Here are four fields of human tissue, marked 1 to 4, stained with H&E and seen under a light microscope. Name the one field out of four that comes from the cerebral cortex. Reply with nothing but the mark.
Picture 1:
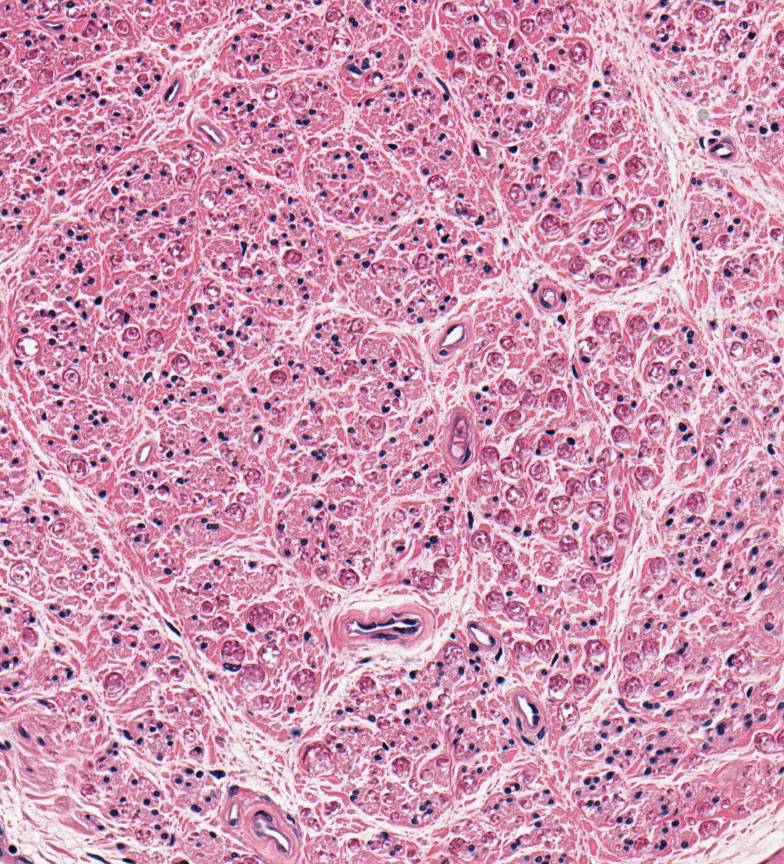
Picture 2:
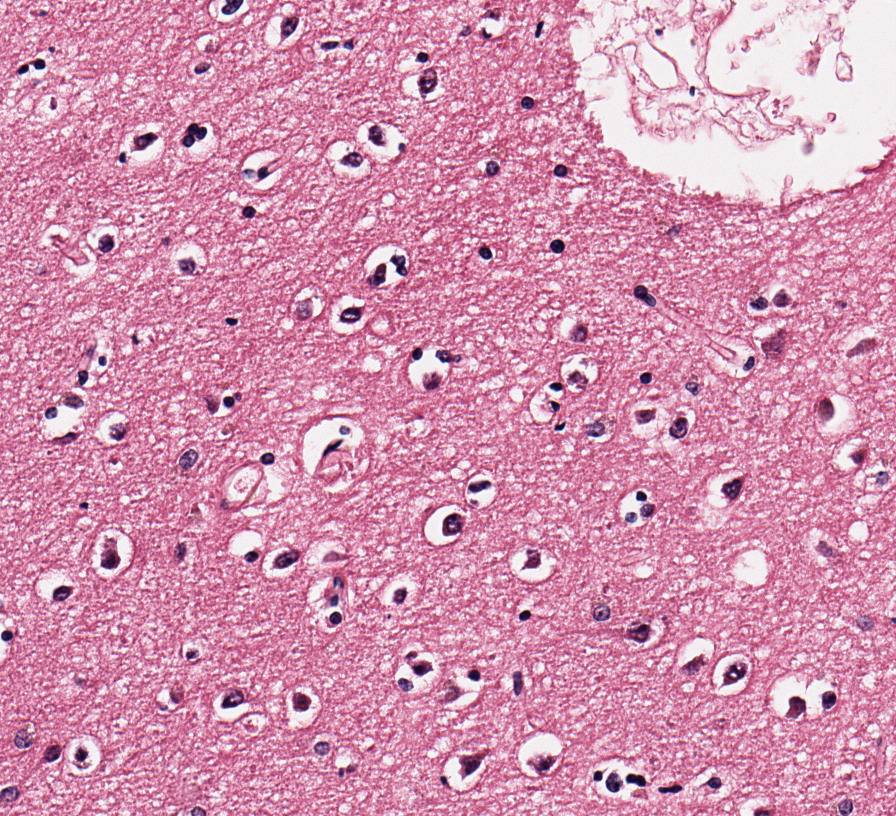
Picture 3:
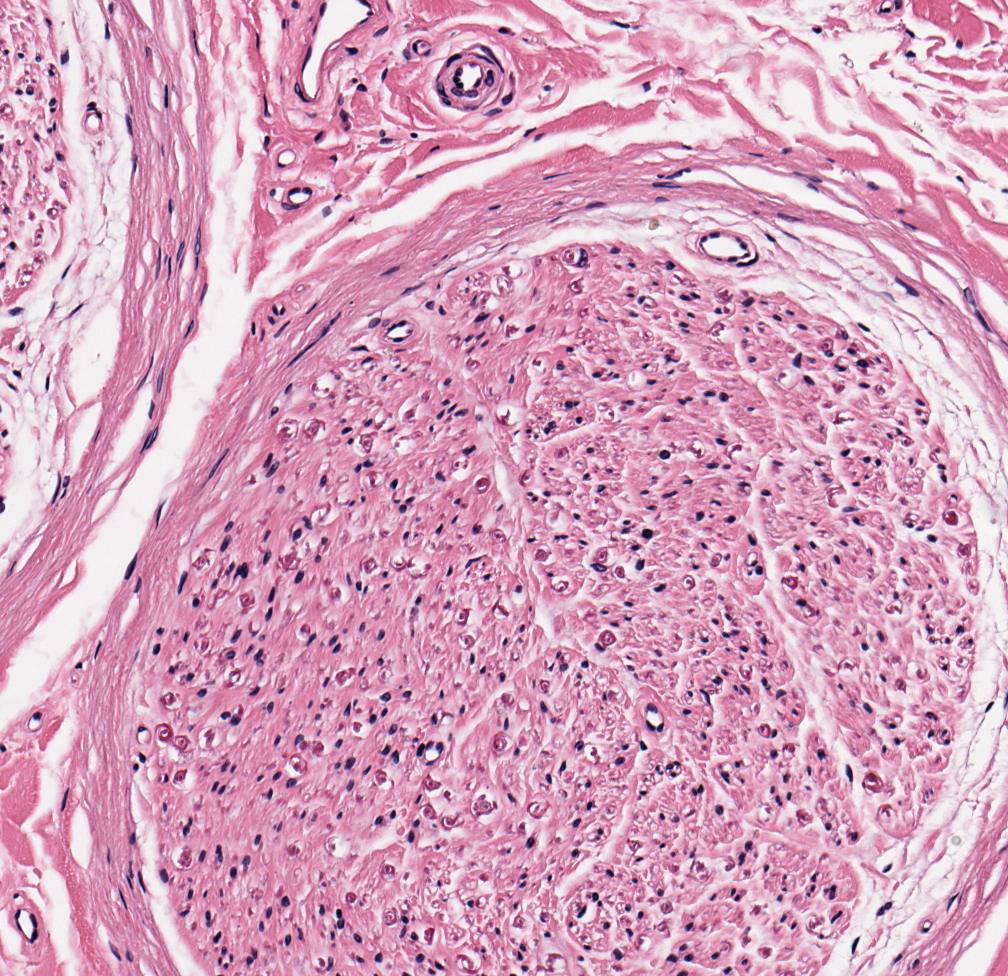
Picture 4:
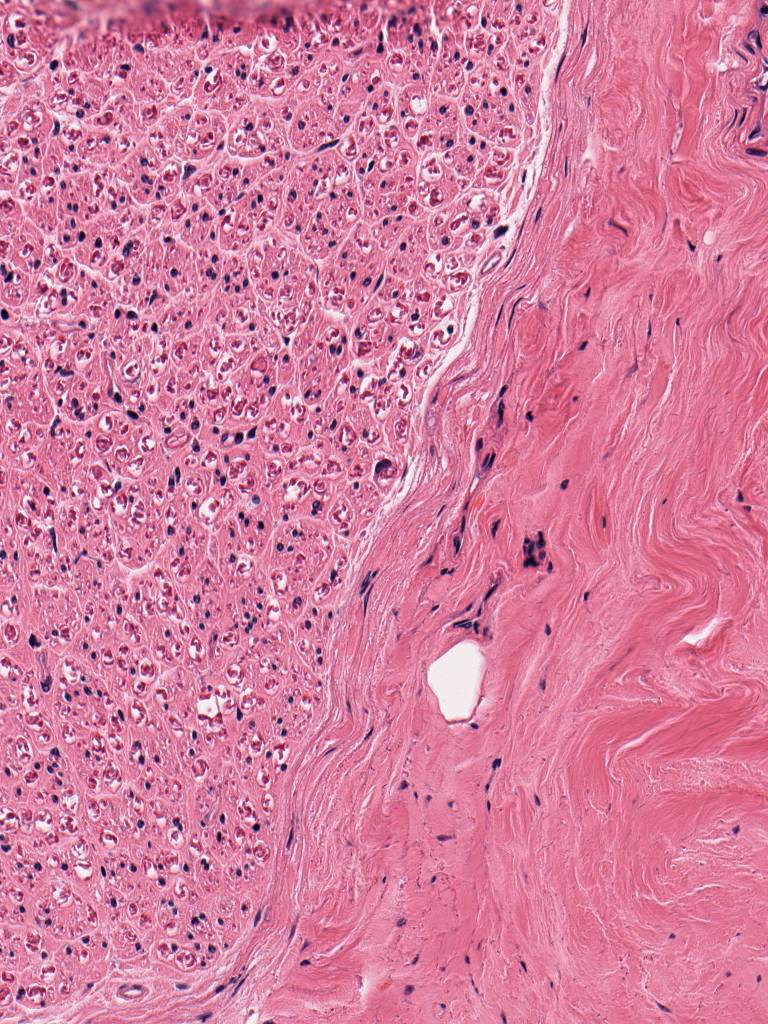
2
